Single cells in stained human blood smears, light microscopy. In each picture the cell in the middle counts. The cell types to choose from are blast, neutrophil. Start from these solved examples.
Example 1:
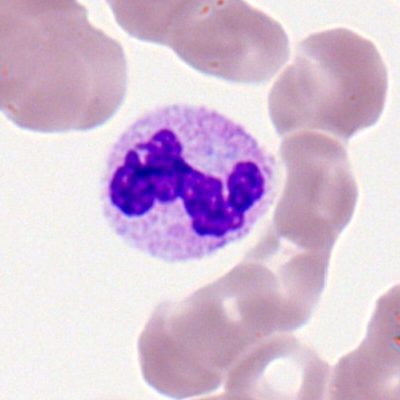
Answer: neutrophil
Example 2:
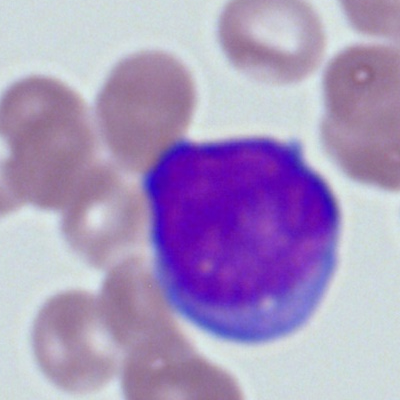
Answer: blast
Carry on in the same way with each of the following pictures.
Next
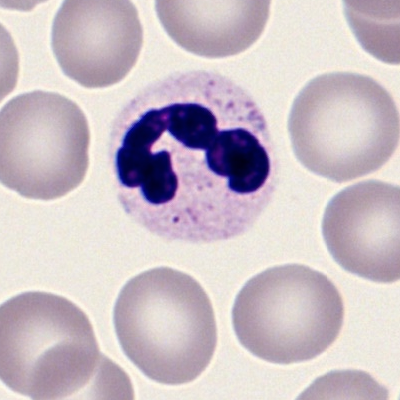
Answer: neutrophil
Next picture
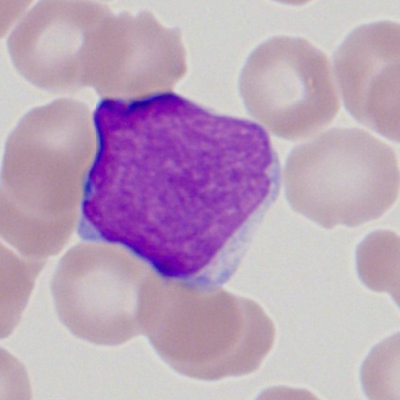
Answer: blast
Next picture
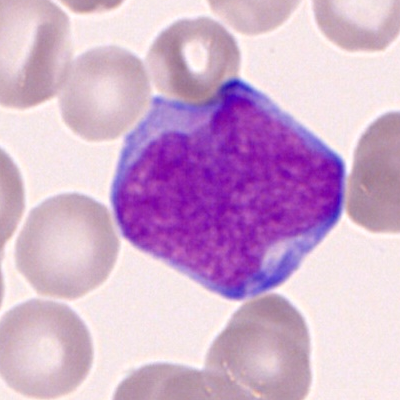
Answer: blast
